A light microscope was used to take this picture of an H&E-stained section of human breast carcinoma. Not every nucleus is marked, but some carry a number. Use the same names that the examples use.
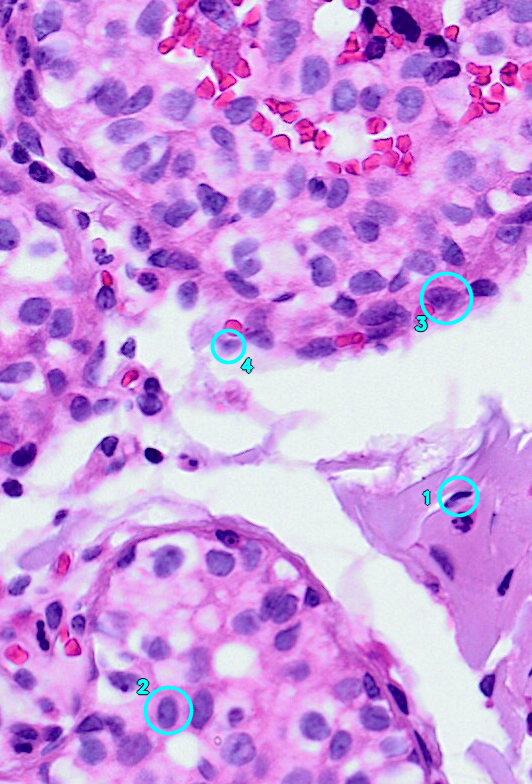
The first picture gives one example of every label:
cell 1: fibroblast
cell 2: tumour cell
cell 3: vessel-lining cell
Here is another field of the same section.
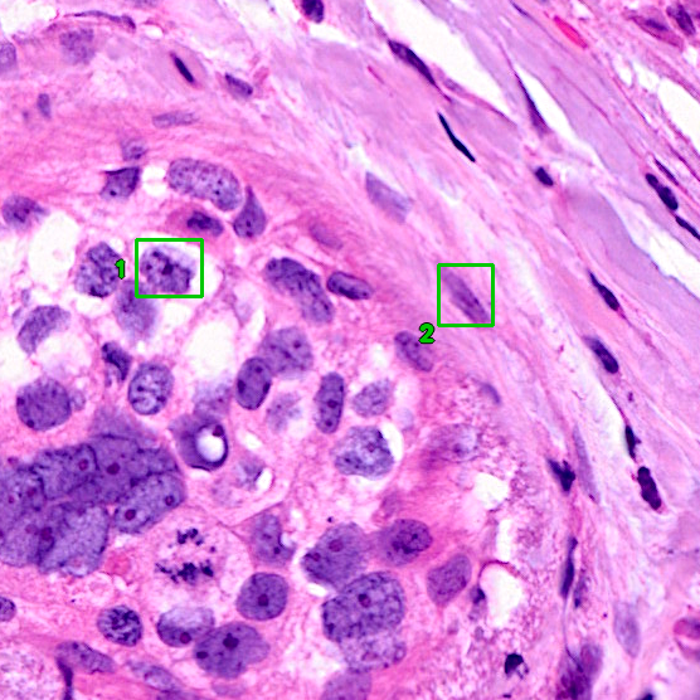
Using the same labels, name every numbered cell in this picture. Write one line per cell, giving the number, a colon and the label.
1: tumour cell
2: fibroblast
